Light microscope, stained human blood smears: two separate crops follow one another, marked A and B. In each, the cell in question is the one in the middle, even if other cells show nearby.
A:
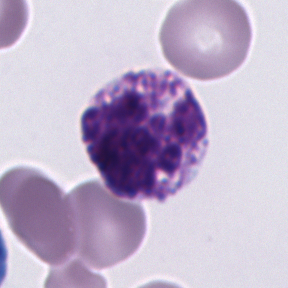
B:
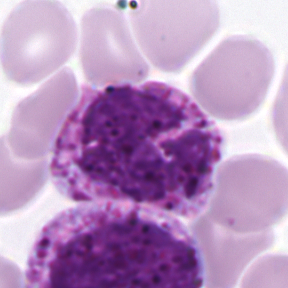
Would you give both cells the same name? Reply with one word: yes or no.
yes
